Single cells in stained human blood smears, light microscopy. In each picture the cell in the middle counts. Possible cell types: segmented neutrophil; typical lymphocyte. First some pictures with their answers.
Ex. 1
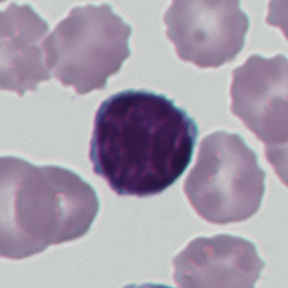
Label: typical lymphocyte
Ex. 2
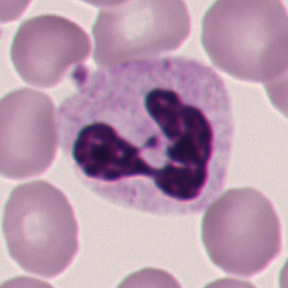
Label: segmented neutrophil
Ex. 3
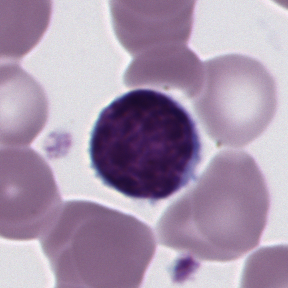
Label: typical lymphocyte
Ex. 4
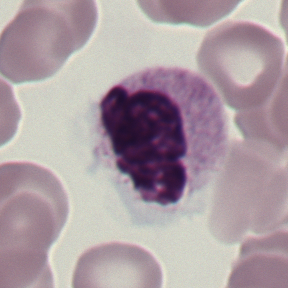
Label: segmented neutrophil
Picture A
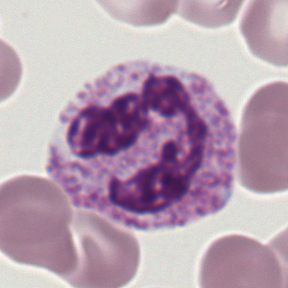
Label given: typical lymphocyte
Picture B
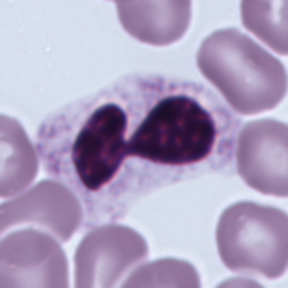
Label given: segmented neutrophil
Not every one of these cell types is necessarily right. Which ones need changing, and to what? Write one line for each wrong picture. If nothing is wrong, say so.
A: segmented neutrophil, not typical lymphocyte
